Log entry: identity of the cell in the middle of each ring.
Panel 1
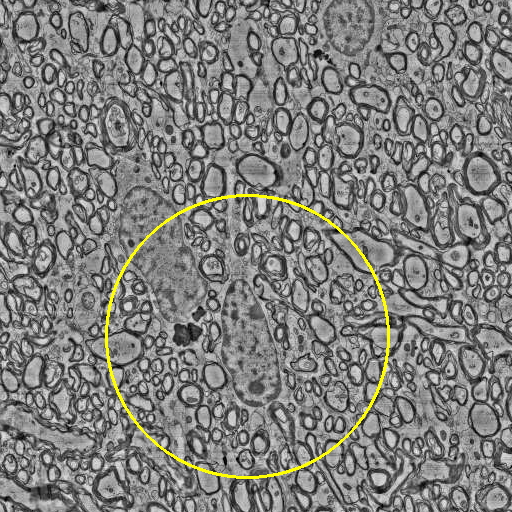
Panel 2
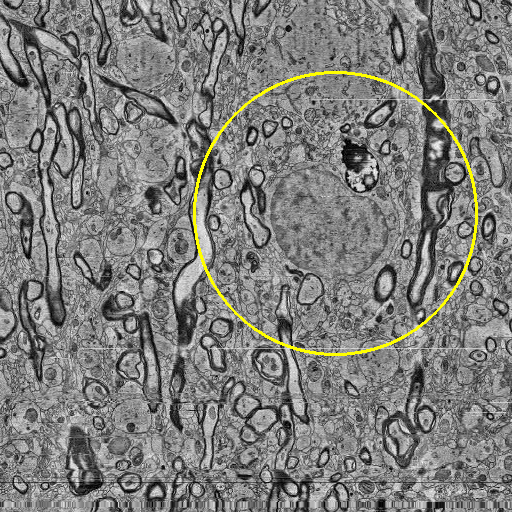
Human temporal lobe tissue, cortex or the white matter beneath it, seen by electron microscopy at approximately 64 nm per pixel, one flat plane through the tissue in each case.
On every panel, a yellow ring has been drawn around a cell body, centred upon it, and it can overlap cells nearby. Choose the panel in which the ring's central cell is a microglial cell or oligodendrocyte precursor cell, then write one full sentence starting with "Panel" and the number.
Panel 1 shows the requested cell sitting in the middle of its ring.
